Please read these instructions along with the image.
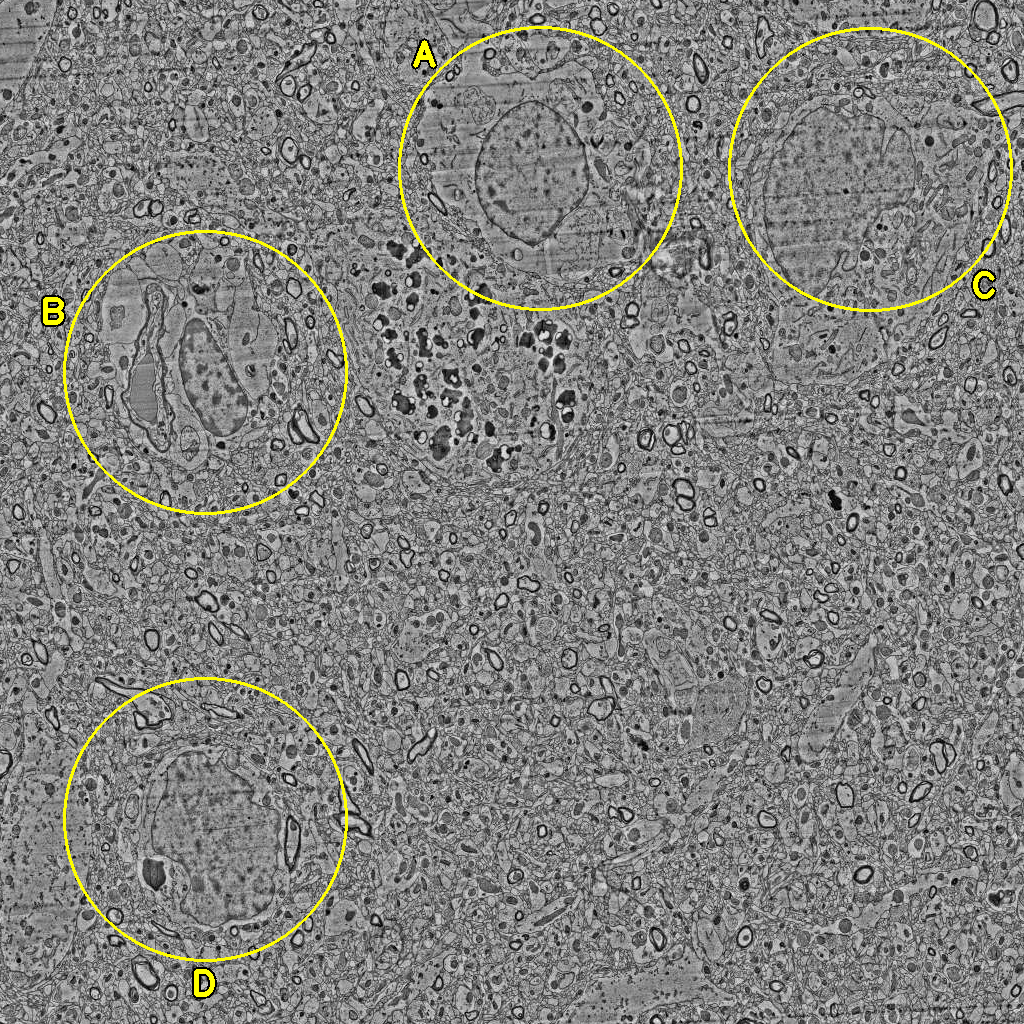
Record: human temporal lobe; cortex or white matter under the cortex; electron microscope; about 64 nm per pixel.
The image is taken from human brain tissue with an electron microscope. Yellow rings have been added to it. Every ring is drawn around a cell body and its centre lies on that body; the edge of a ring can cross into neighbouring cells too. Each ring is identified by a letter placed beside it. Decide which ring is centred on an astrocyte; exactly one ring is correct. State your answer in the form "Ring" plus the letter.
Ring A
